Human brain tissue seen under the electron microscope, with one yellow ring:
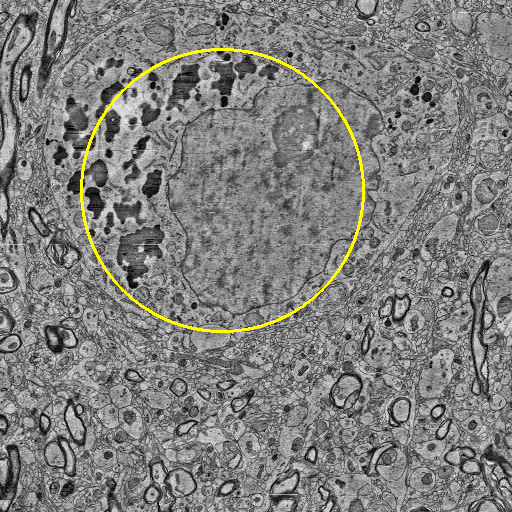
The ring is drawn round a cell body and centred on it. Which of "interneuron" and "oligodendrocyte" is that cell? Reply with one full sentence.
The picture shows an interneuron at the very centre of the yellow ring.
